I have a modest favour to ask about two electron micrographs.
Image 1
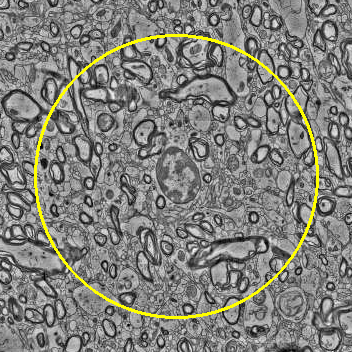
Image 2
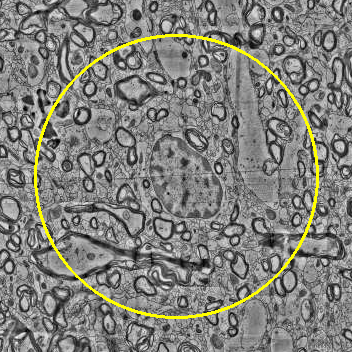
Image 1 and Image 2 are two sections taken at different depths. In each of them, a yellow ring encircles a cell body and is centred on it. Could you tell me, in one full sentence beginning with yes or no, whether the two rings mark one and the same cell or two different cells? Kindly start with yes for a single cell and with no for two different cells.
Yes, the two rings encircle a single cell, not a pair.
